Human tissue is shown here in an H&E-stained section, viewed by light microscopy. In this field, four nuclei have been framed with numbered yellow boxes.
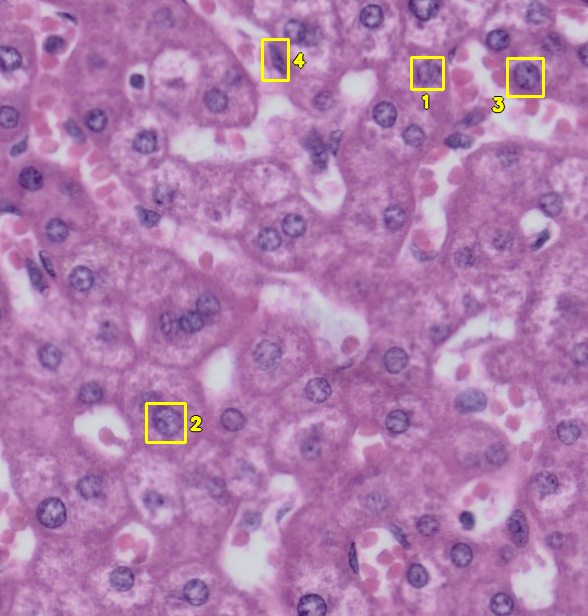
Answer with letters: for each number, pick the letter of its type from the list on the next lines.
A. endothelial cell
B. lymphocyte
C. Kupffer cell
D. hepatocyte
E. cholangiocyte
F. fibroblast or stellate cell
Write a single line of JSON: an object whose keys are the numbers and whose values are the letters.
{"1": "D", "2": "D", "3": "D", "4": "A"}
